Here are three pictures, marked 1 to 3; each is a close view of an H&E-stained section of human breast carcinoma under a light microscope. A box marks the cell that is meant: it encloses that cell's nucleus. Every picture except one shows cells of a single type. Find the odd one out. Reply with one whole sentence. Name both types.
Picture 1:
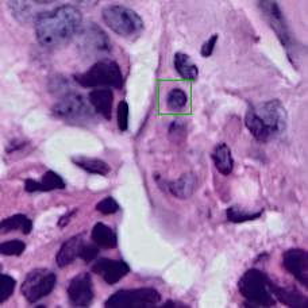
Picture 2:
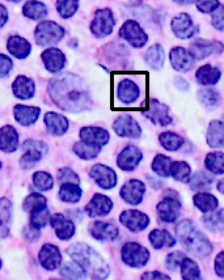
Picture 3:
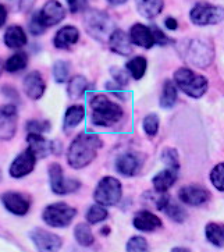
All pictures except 1 show lymphocytes; picture 1 shows a mast cell.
